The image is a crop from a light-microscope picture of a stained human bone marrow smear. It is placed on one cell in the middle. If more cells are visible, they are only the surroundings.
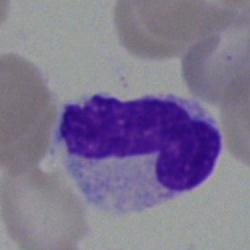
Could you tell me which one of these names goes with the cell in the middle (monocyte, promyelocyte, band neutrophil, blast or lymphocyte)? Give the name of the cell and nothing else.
band neutrophil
